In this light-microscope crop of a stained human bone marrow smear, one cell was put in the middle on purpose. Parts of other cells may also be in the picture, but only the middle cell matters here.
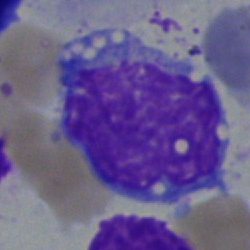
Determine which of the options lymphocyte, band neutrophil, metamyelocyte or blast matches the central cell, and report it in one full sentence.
The cell at the central position in this crop is a blast.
